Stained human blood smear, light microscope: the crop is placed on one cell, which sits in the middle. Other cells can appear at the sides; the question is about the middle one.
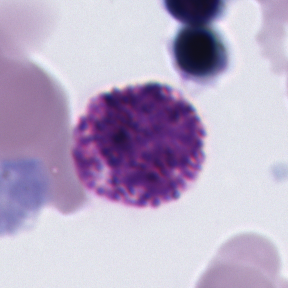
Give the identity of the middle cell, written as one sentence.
The cell around which this crop is centred is a basophil.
